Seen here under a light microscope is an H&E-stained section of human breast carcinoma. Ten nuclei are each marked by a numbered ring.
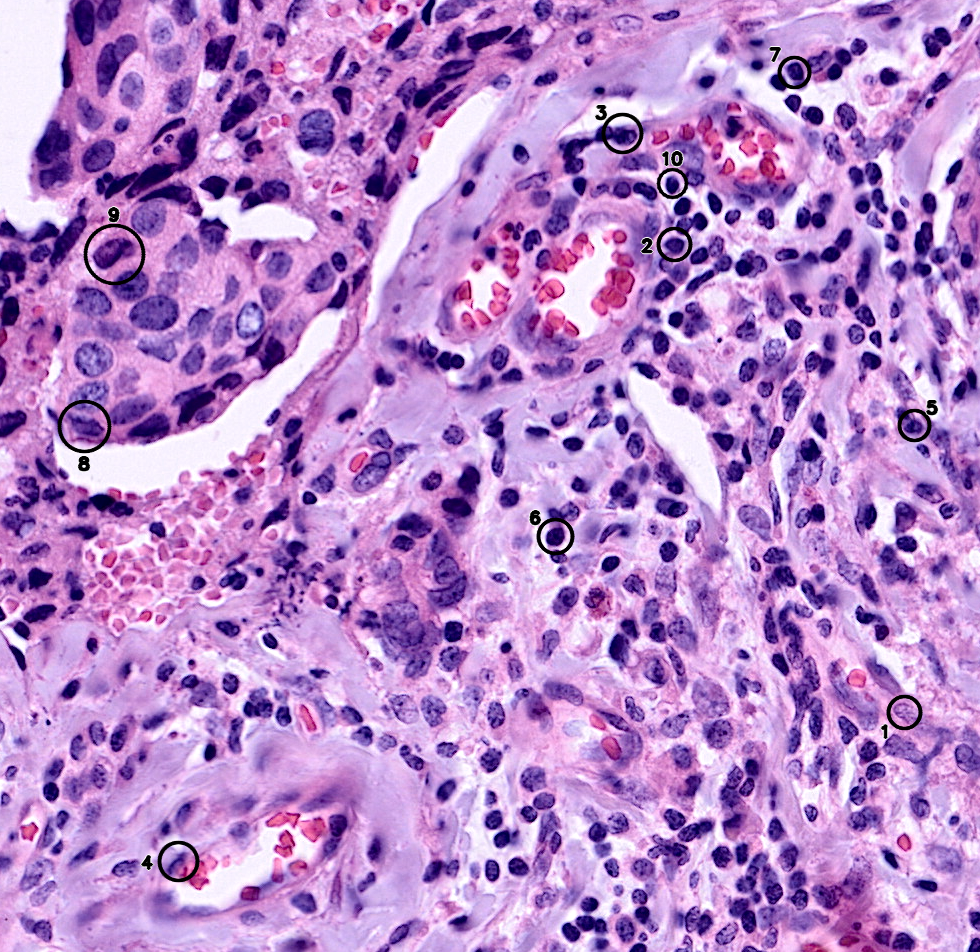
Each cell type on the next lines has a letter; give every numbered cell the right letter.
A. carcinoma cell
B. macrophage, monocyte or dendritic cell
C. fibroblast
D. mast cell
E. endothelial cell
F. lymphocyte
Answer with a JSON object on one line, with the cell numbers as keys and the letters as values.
{"1": "E", "2": "F", "3": "F", "4": "E", "5": "F", "6": "F", "7": "F", "8": "A", "9": "A", "10": "F"}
